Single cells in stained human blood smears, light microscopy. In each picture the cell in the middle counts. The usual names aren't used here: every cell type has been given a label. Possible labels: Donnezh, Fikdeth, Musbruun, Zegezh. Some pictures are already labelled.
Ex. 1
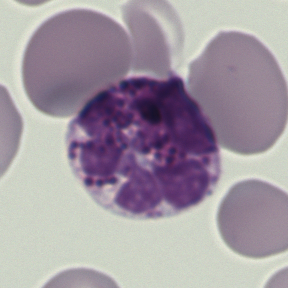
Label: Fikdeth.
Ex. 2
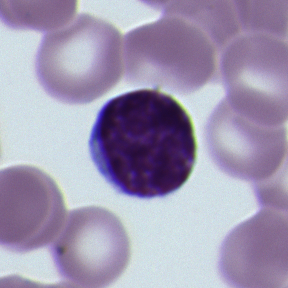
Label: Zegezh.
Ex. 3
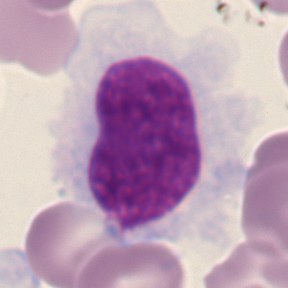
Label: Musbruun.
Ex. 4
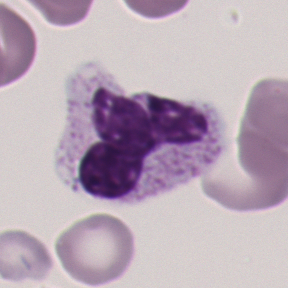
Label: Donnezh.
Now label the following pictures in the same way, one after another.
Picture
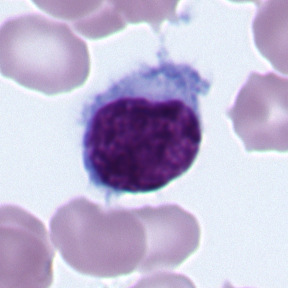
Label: Musbruun.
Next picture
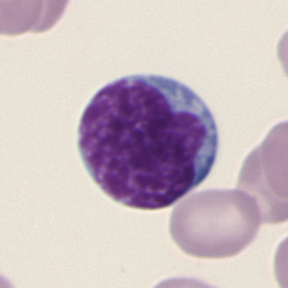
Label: Zegezh.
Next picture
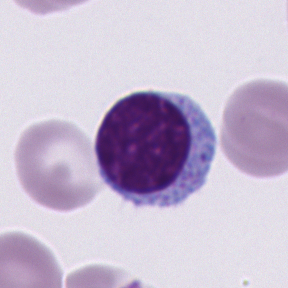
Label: Zegezh.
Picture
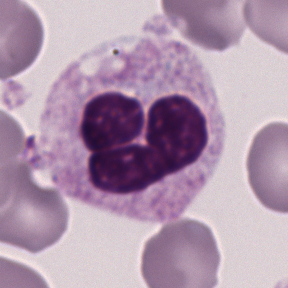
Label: Donnezh.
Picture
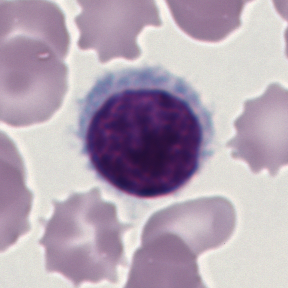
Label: Musbruun.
